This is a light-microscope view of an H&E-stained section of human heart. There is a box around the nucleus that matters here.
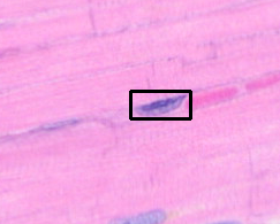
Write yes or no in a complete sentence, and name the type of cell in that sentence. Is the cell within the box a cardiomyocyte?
No, the cell within the box is not a cardiomyocyte; an endothelial cell is what it is.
